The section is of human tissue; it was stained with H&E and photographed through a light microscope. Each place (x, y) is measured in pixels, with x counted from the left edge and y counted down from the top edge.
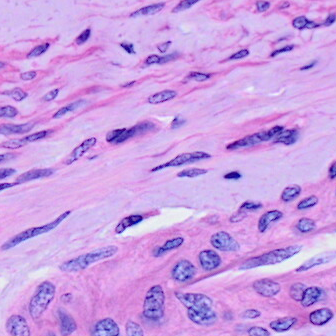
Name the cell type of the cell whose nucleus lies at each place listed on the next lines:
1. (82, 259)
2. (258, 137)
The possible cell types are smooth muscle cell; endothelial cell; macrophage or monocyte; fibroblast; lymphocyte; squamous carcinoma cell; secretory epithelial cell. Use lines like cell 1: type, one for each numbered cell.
cell 1: smooth muscle cell
cell 2: endothelial cell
